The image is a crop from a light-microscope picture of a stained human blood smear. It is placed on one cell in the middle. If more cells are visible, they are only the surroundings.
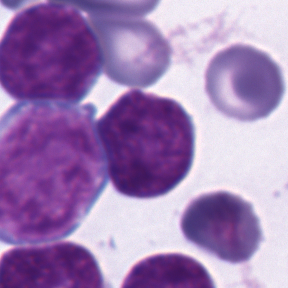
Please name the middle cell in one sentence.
The central cell, amid any neighbouring cells, is a myeloblast.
